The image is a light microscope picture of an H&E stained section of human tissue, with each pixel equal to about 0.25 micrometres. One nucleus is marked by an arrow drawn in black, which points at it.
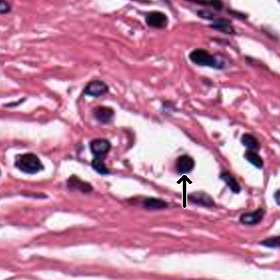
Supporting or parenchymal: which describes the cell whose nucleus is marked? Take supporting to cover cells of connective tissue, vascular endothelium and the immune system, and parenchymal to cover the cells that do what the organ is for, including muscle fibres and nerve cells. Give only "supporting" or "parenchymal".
supporting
